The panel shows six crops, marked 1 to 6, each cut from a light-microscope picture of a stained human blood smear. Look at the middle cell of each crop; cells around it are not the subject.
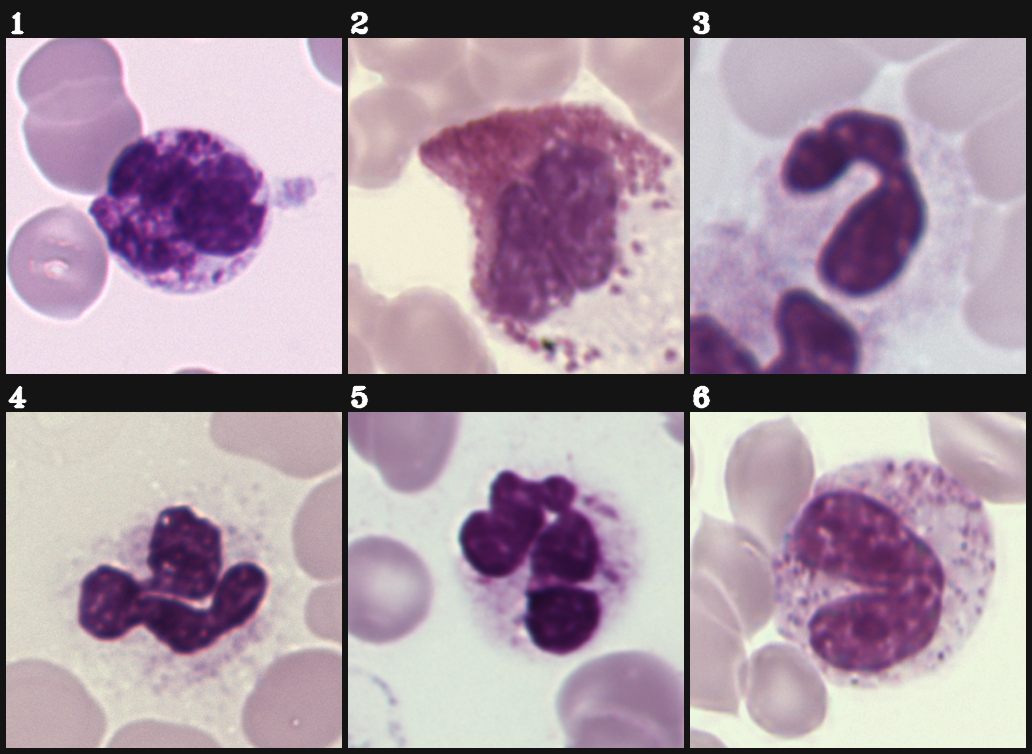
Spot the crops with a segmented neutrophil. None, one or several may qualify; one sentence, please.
Those crops that show segmented neutrophils are 3, 4 and 5.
